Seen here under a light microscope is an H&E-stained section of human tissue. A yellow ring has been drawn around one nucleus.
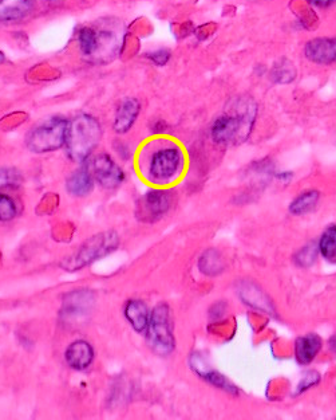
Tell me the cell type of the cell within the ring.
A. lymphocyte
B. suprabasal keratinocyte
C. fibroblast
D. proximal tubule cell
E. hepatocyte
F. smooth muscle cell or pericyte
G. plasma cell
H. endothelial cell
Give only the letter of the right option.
G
